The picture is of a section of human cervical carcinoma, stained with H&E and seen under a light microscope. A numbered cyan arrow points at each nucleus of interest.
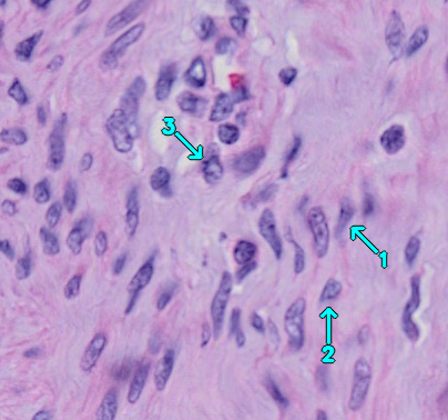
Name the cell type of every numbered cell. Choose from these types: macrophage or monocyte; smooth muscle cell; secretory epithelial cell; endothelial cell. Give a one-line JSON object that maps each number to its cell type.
{"1": "smooth muscle cell", "2": "smooth muscle cell", "3": "endothelial cell"}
